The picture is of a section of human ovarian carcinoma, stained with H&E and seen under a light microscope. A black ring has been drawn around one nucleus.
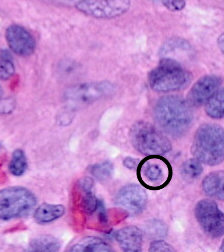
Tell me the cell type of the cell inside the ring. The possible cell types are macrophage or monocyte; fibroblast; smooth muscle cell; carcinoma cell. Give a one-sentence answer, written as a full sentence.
The correct response here is that the cell inside the ring is a macrophage or monocyte.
